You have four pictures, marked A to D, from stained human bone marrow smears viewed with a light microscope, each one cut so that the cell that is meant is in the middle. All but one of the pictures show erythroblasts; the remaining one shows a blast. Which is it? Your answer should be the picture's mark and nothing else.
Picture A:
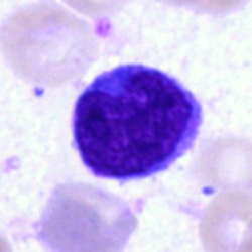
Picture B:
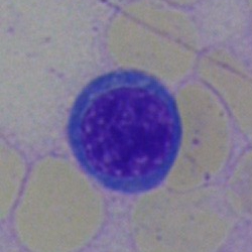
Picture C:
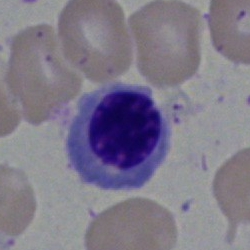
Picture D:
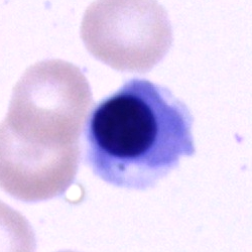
A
